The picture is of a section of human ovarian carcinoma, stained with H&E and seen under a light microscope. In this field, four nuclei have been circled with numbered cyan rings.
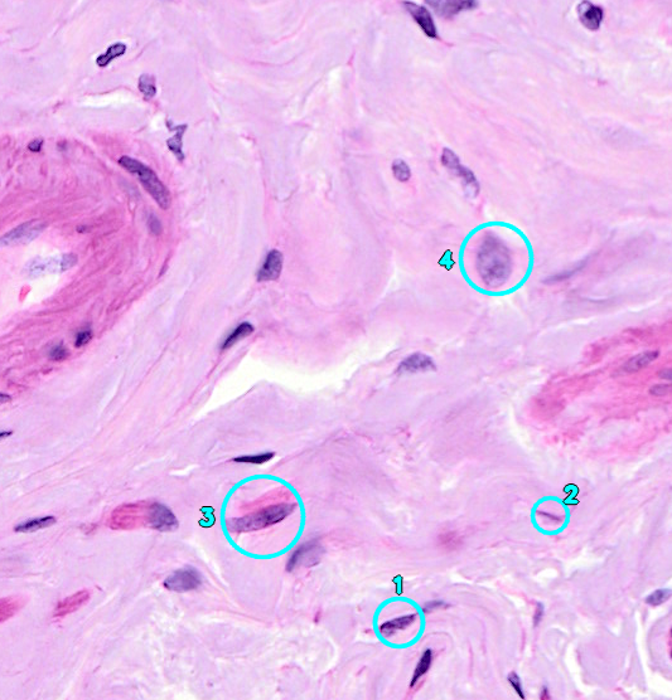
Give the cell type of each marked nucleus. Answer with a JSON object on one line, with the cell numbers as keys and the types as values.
{"1": "fibroblast", "2": "fibroblast", "3": "smooth muscle cell", "4": "fibroblast"}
